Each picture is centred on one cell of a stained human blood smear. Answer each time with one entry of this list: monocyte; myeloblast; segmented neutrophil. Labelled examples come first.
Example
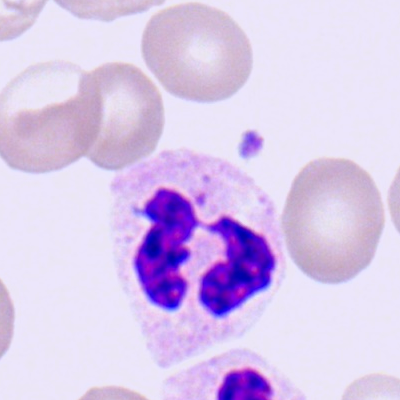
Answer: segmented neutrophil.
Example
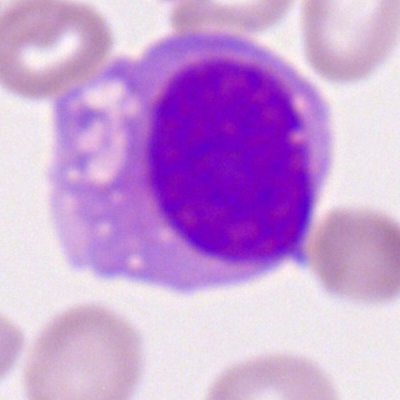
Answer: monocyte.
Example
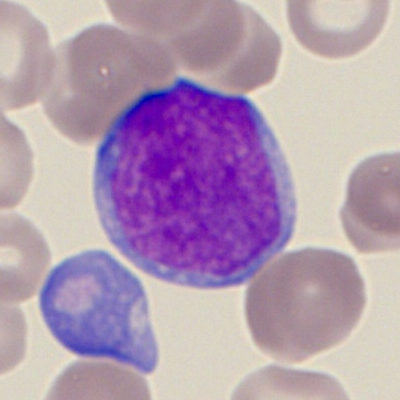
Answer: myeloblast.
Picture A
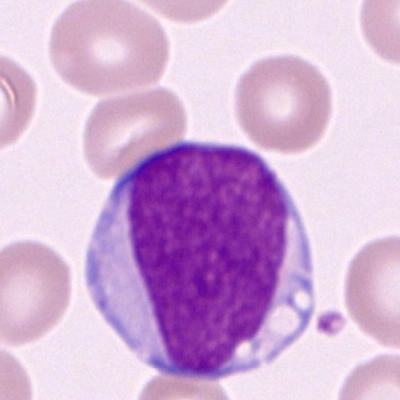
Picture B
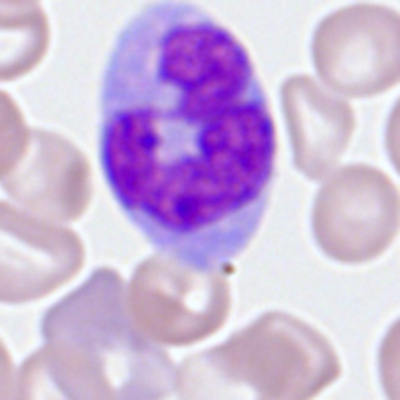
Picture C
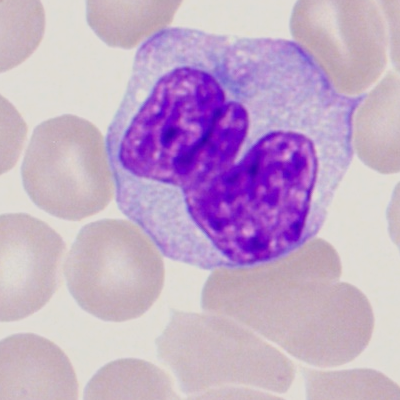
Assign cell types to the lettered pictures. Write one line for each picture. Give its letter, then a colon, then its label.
A: myeloblast.
B: monocyte.
C: monocyte.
